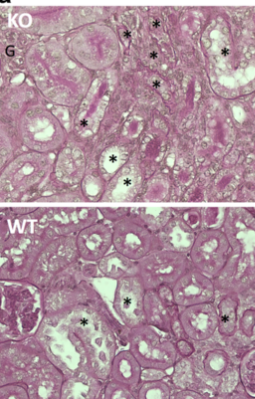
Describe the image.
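These are two views of renal cortex, made up of cross-cut tubules, each outlined by a magenta basement membrane, with a glomerulus at the edge of each view. In the upper view many tubules have wide, pale lumens and a thin, flattened or vacuolated lining, and the space between the tubules looks crowded. In the lower view most tubules keep a fuller lining with pink-staining cytoplasm, and fewer of them are widened and pale.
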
